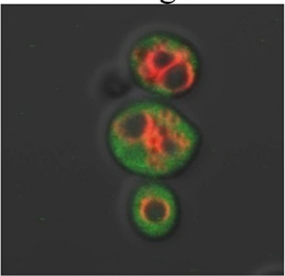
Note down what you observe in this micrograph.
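A short chain of three budding yeast cells, round to oval, stacked vertically. Each cell holds one or several vacuoles outlined by red rings; the upper and middle cells contain several irregular red-ringed compartments, the lower smallest cell a single round one. Green fluorescence fills the cytoplasm around the vacuoles, forming a green rim between the red rings and the cell edge, while the vacuole interiors are dark.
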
